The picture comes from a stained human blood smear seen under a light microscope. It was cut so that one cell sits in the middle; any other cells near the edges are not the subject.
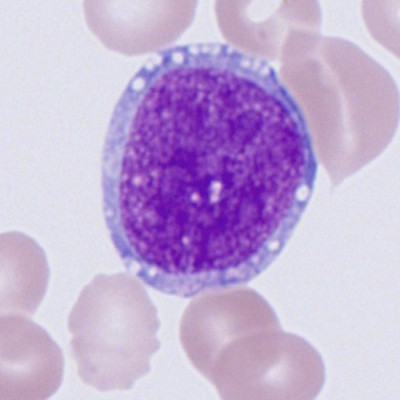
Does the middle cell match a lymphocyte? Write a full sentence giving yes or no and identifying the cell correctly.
No, the middle cell is classified as a myeloblast and not as a lymphocyte.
